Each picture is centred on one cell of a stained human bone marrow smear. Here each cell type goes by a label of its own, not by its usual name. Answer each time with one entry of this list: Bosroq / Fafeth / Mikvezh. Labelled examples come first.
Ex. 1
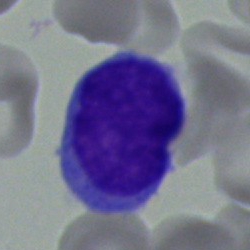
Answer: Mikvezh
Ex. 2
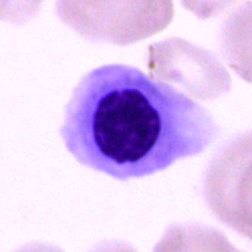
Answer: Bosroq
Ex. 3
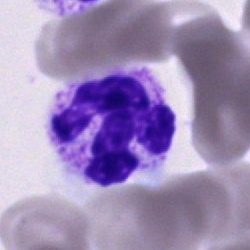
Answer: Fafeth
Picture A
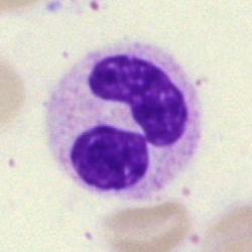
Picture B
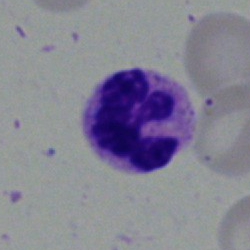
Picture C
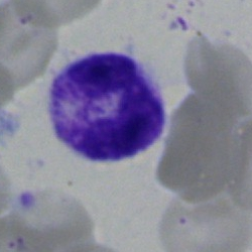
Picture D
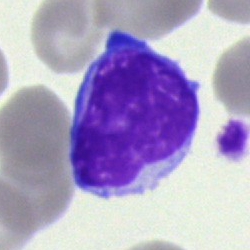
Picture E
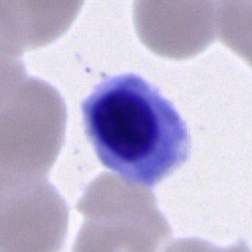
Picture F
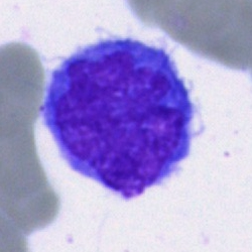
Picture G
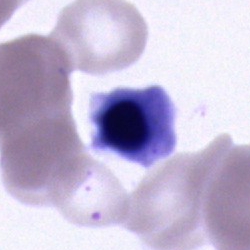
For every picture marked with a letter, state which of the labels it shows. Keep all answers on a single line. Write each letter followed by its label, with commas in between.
A Fafeth, B Fafeth, C Fafeth, D Mikvezh, E Bosroq, F Mikvezh, G Bosroq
